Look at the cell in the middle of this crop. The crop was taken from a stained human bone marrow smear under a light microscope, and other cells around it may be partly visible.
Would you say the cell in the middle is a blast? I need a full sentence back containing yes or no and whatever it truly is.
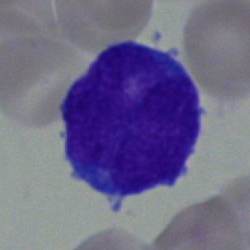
Yes, placed in the middle of the crop is a blast.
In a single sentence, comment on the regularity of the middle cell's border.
Ragged or projecting, the border of this cell departs from a smooth contour.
